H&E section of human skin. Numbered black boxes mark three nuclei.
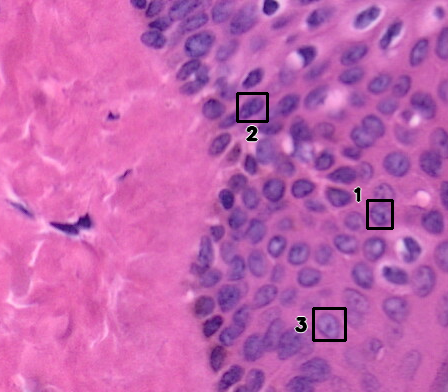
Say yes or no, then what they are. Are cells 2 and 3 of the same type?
No, cell 2 is classed as a basal keratinocyte and cell 3 as a suprabasal keratinocyte.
